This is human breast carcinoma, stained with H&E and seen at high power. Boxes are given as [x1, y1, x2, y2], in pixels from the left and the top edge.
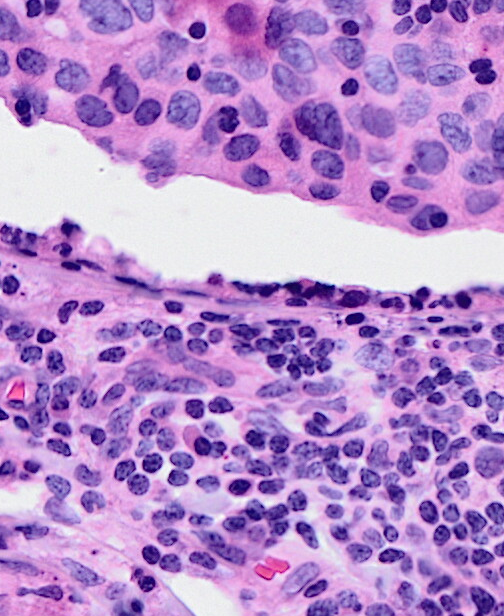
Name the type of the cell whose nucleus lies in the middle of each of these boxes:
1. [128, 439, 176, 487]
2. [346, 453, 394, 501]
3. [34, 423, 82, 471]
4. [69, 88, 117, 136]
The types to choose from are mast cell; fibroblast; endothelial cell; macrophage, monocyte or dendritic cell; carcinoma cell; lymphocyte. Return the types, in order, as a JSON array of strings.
["lymphocyte", "lymphocyte", "lymphocyte", "carcinoma cell"]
